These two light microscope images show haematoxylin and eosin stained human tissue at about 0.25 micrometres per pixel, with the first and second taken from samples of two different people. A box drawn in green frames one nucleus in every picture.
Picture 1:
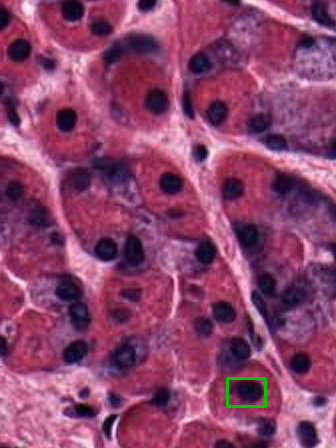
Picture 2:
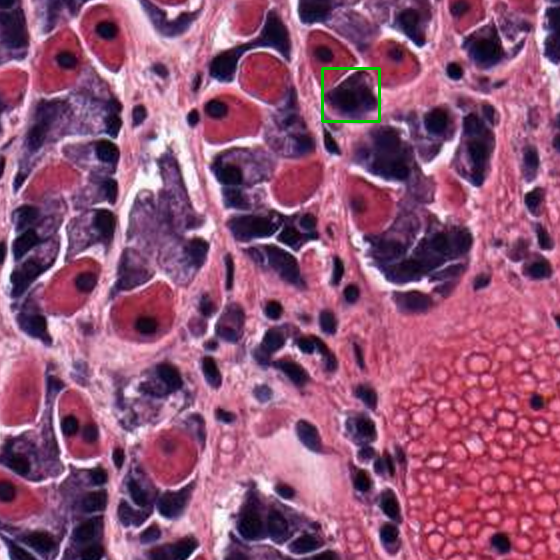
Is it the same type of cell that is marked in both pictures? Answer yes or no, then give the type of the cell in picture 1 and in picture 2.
No, the first is a parietal cell and the second a chief cell.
